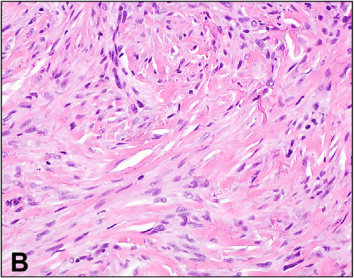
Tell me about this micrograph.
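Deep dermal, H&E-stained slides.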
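This is a cellular dermatofibroma made of cytologically bland spindled and histiocytoid cells lying among pink collagen. The nuclei are small, oval to elongated and fairly uniform, without striking enlargement or darkness. The cells run in short bundles that curve and cross one another in a vaguely whorled fashion. Between them, thick pink collagen bundles are caught up among the cells.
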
